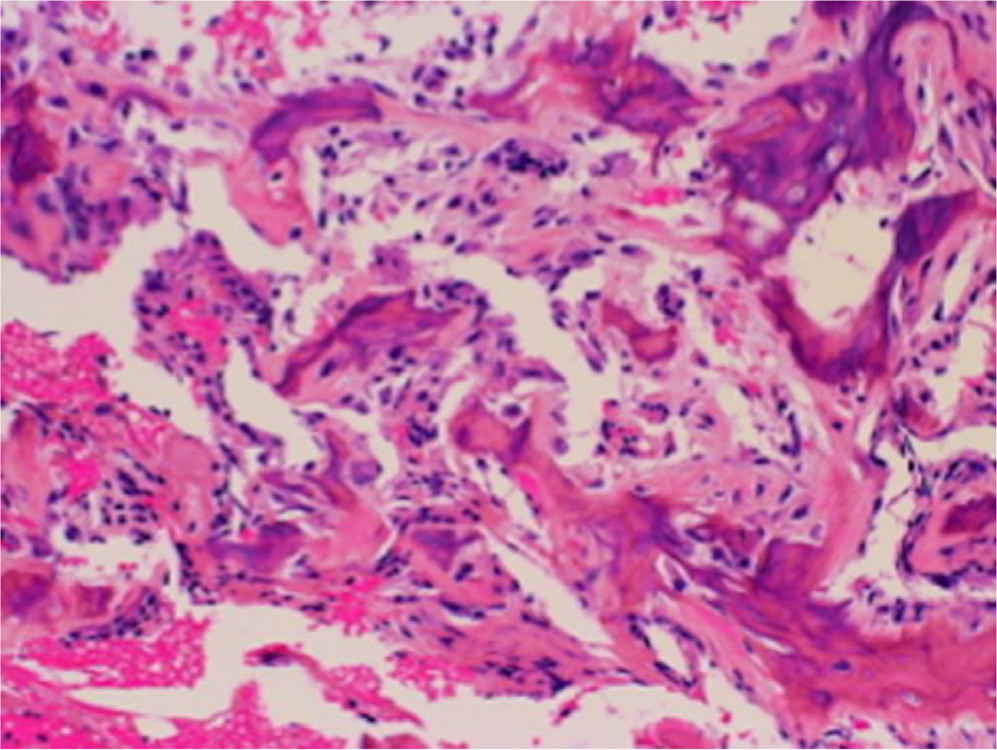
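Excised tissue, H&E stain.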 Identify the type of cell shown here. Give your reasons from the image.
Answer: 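Osteoblasts. Small cells with dark nuclei line the surfaces of the matrix trabeculae. These lining cells sit in rows along the trabecular edges.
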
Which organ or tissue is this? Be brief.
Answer: woven bone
